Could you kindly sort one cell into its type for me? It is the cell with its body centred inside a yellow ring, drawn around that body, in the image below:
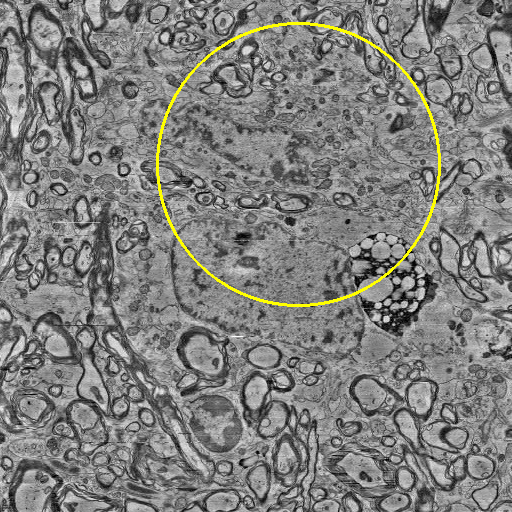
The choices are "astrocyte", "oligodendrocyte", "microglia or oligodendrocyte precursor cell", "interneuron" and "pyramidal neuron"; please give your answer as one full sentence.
The cell whose body lies centred in the yellow ring here is an astrocyte.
